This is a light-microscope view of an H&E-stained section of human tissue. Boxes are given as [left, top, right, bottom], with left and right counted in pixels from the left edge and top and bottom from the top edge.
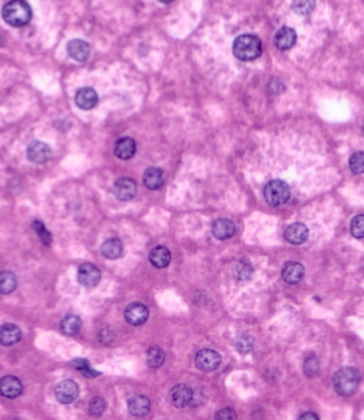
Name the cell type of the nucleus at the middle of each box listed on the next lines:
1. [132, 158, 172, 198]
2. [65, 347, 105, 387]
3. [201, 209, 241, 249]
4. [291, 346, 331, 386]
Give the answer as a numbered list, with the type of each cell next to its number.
1. hepatocyte
2. endothelial cell
3. hepatocyte
4. hepatocyte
